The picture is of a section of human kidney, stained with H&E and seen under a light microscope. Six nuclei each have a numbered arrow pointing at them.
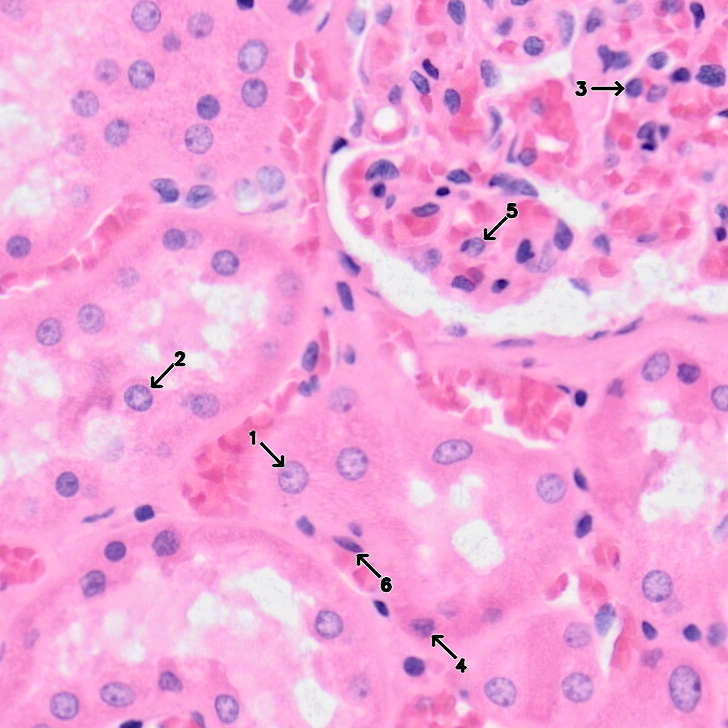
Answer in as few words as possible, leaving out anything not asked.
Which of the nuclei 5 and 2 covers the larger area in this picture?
2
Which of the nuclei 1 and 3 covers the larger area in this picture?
1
